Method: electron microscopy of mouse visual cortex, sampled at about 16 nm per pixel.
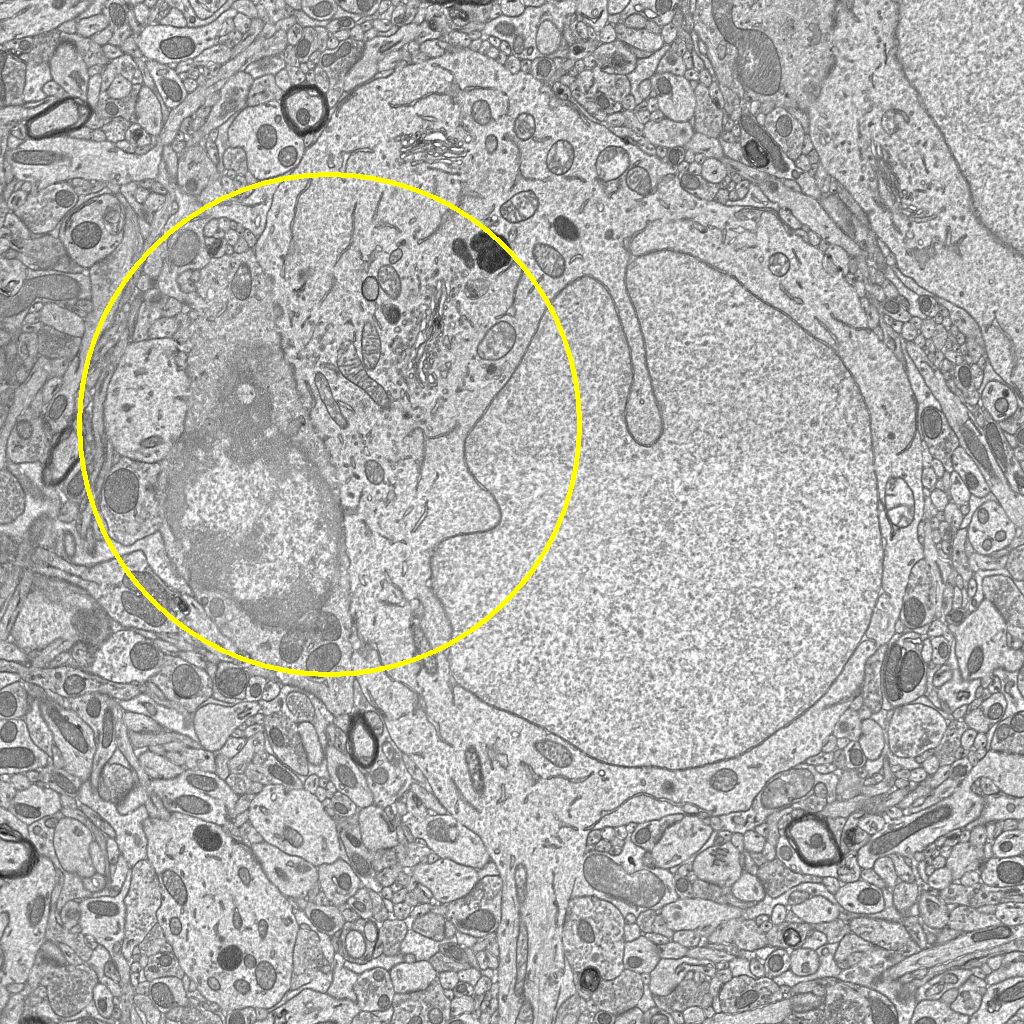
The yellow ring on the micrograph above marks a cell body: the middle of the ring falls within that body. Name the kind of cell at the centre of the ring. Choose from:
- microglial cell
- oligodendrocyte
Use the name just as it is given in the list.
oligodendrocyte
